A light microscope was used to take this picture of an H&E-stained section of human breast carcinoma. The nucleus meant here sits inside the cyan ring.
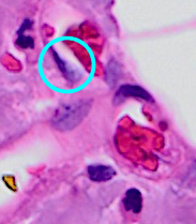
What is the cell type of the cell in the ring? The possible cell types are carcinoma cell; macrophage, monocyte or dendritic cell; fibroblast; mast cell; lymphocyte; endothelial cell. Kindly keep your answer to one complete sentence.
In short, the cell in the ring on this section is an endothelial cell.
